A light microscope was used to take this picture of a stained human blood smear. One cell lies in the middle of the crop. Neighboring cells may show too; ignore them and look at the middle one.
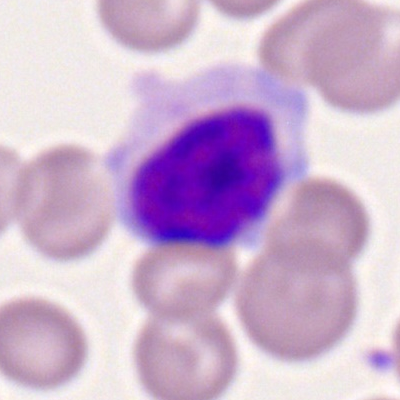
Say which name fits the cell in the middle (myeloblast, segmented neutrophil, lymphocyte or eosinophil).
lymphocyte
